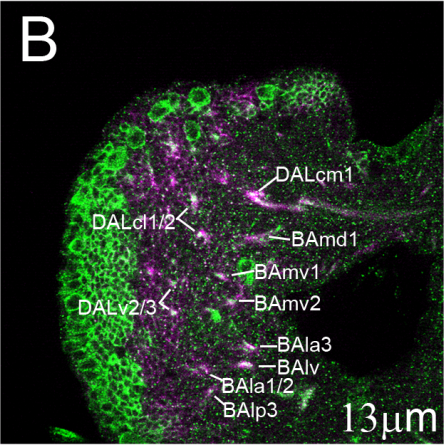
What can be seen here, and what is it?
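This deeper section through the larval brain shows the cortex of densely packed small cells and labelled secondary axon tracts. On the left a broad field of small, polygonal, green-outlined cells forms a honeycomb-like layer. Deeper in, short bright magenta and whitish bundles are scattered through the tissue, each marking a tract that leaves a group of cells. A few larger round green-outlined cells lie among the smaller ones. A dark rounded space lies at the lower right.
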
